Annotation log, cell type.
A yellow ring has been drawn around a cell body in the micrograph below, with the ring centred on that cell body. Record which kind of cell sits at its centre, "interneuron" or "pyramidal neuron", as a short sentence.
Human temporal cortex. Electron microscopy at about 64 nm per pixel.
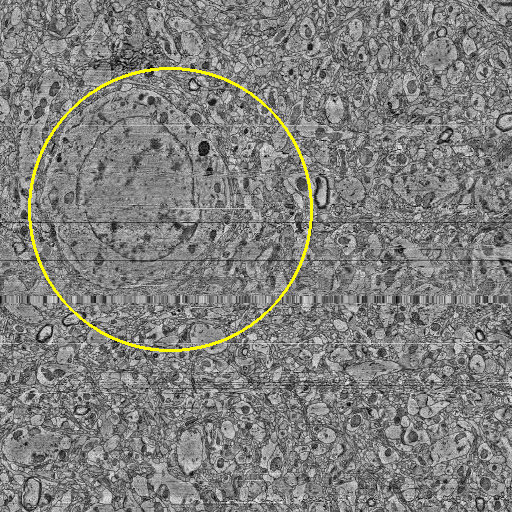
The cell at the centre of this ring is a pyramidal neuron.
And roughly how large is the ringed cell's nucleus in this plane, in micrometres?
The nucleus of the ringed cell is approximately 10 by 8 micrometres in this plane.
